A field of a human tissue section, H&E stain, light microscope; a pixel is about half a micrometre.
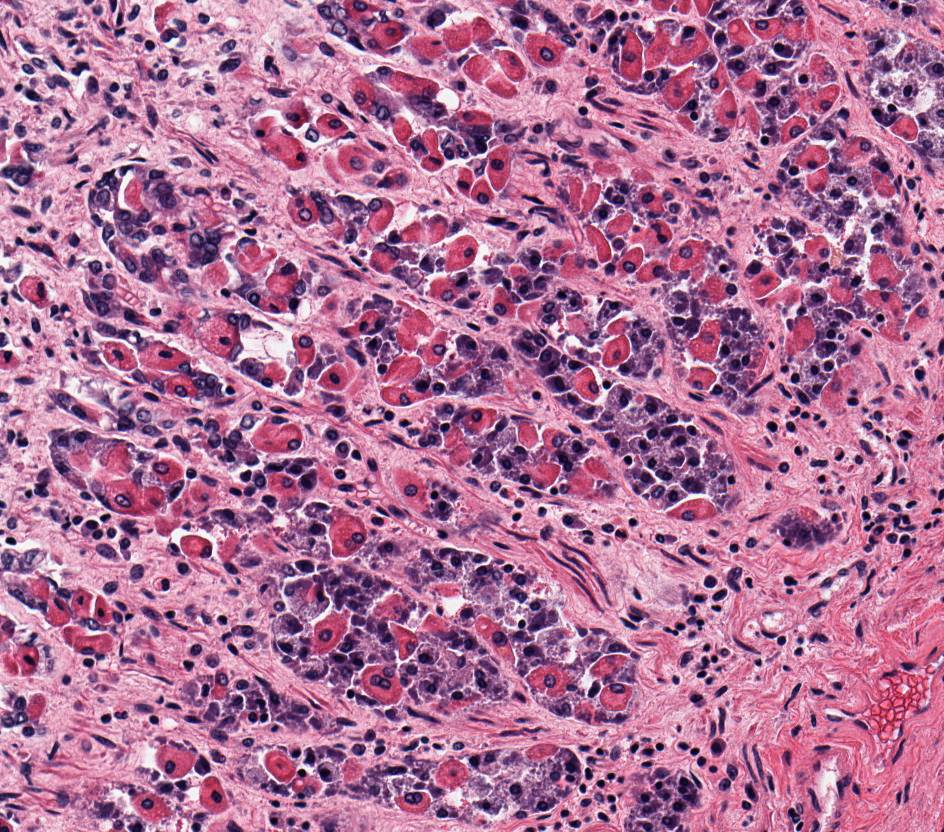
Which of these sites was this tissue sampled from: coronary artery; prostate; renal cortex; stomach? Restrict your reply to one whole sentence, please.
This piece of tissue was sampled from the stomach.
